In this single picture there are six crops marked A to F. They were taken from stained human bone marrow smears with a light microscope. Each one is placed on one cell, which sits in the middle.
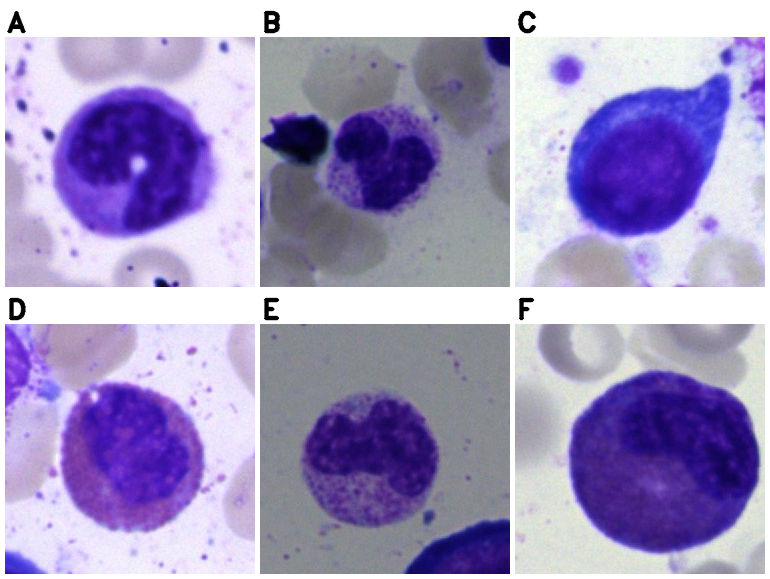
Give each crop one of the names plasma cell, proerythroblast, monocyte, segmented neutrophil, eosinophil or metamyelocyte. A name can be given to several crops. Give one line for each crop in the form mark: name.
A: monocyte
B: segmented neutrophil
C: proerythroblast
D: eosinophil
E: metamyelocyte
F: eosinophil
